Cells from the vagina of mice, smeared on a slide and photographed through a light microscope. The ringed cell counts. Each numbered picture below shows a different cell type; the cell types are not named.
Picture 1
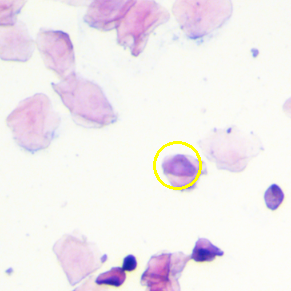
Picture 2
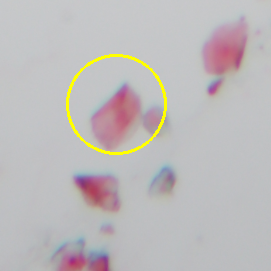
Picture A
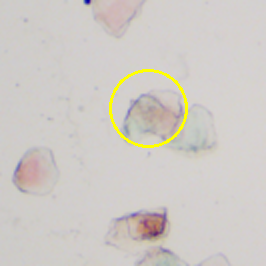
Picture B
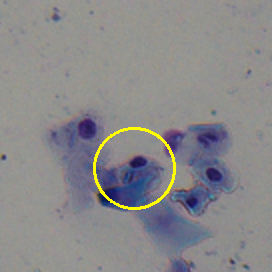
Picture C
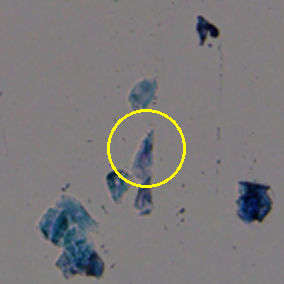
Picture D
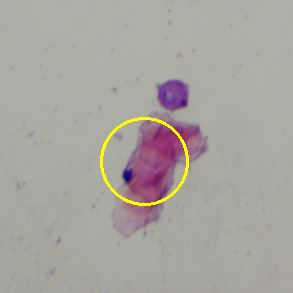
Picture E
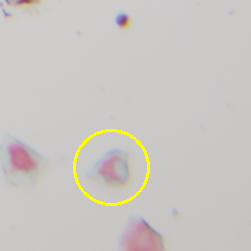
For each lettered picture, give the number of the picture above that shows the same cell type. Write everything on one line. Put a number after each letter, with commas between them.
A 2, B 1, C 2, D 2, E 1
